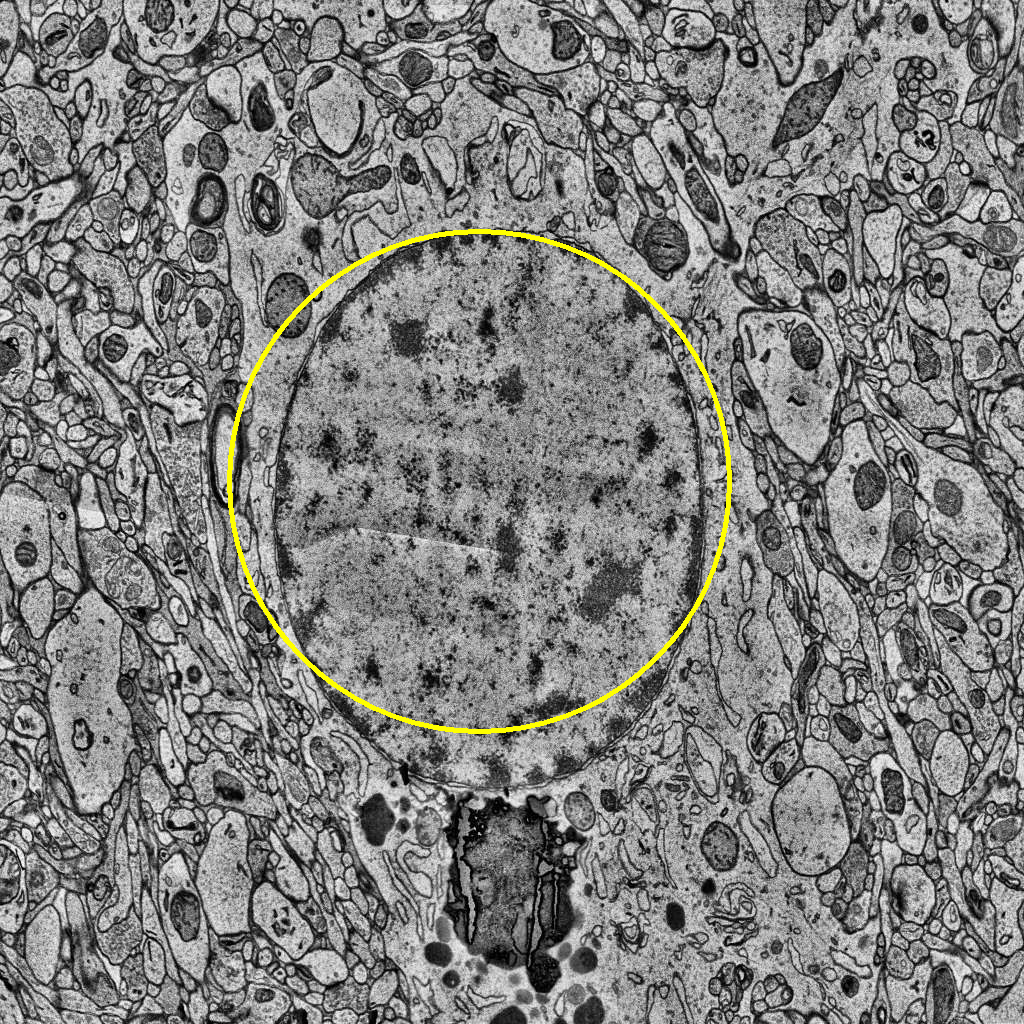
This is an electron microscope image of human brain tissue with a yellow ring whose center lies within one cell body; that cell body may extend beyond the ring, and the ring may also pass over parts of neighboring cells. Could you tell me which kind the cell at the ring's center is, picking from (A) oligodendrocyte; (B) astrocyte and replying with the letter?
B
